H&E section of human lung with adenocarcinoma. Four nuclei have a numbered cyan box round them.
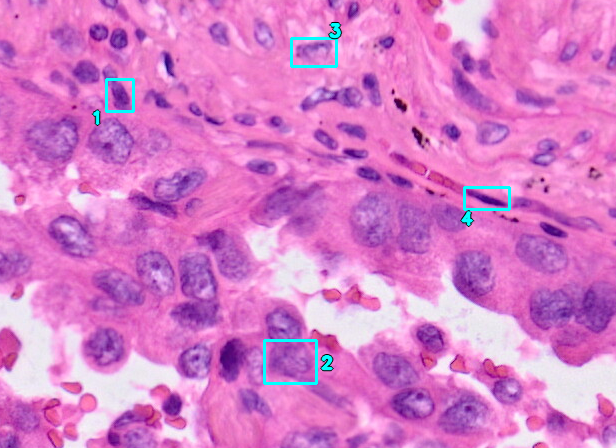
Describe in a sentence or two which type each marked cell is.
Cell 1 is a lymphocyte, cell 2 is a carcinoma cell, cell 3 is a fibroblast and cell 4 is an endothelial cell.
